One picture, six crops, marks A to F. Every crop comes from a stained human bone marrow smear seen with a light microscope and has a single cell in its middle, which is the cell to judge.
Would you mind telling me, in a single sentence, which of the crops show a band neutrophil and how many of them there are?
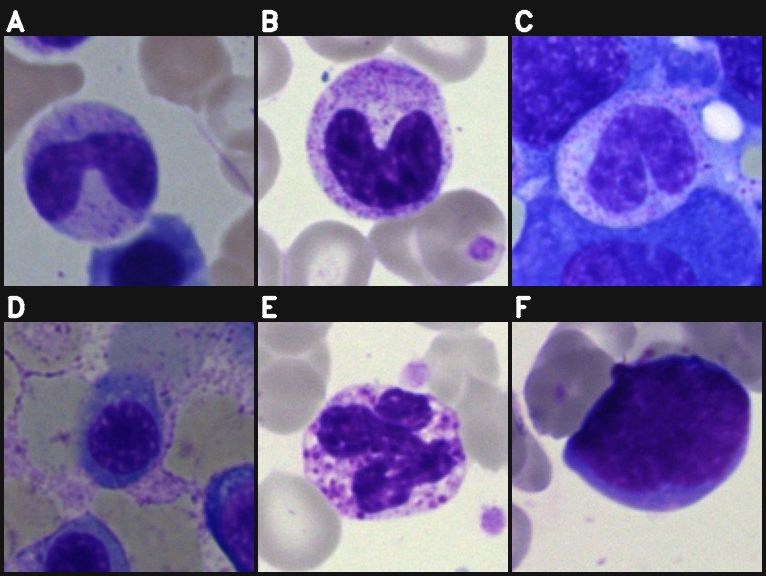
The set of crops showing band neutrophils comprises three, namely A, B and C.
